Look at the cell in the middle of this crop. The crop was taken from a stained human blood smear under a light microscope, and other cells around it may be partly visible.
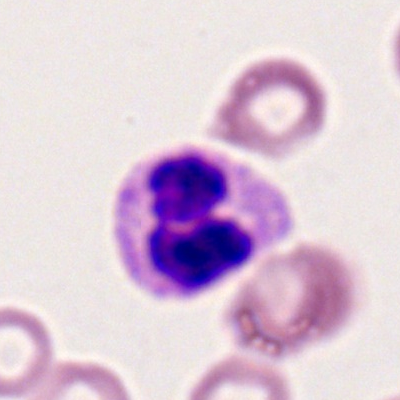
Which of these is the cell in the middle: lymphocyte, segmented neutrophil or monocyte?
segmented neutrophil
